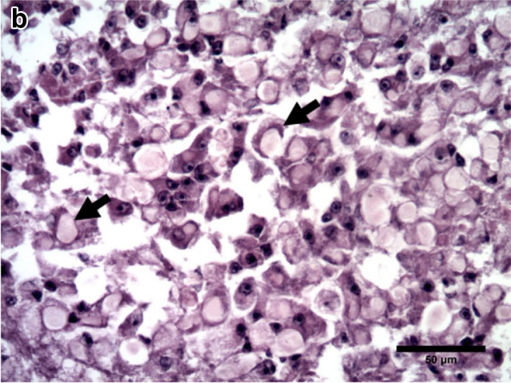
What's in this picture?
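This tumour is made up of loosely packed round cells, many of them signet ring cells in which a large pale vacuole fills the cytoplasm and pushes a dark nucleus to one side. Clear spaces separate the cells.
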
